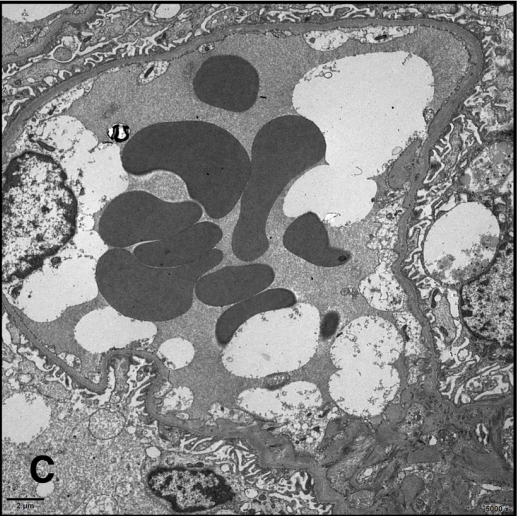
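Normal glomerular capillary loop. The lumen is open and contains several dark, smoothly contoured red blood cells lying in pale plasma with clear spaces; no thrombus fills it. A thin endothelial lining and a uniform, thin basement membrane surround the lumen, and outside them numerous interdigitating podocyte foot processes line the urinary space. Nuclei with peripheral chromatin of neighbouring glomerular cells lie at the left and at the bottom edge.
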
